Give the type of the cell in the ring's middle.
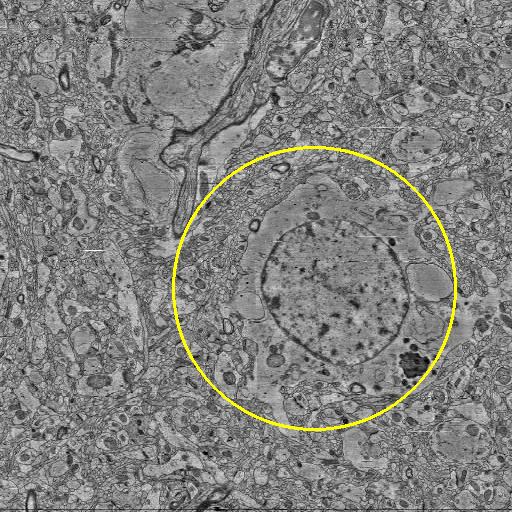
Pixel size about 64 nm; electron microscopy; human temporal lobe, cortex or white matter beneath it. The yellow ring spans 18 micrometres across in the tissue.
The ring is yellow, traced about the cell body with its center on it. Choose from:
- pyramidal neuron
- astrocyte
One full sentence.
Here, an astrocyte is the cell lying at the center of the yellow ring.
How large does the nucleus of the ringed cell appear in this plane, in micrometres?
In this plane, roughly 10 micrometres across.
